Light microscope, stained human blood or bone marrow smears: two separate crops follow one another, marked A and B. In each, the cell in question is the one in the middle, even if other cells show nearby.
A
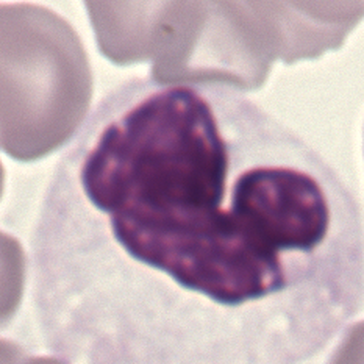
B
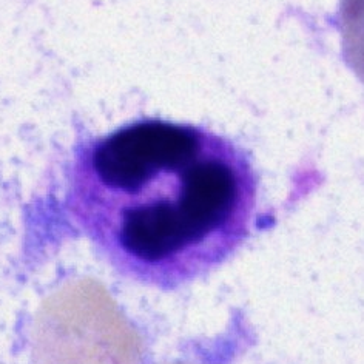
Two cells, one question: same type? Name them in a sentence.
Yes, both crops have segmented neutrophils as their central cells.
